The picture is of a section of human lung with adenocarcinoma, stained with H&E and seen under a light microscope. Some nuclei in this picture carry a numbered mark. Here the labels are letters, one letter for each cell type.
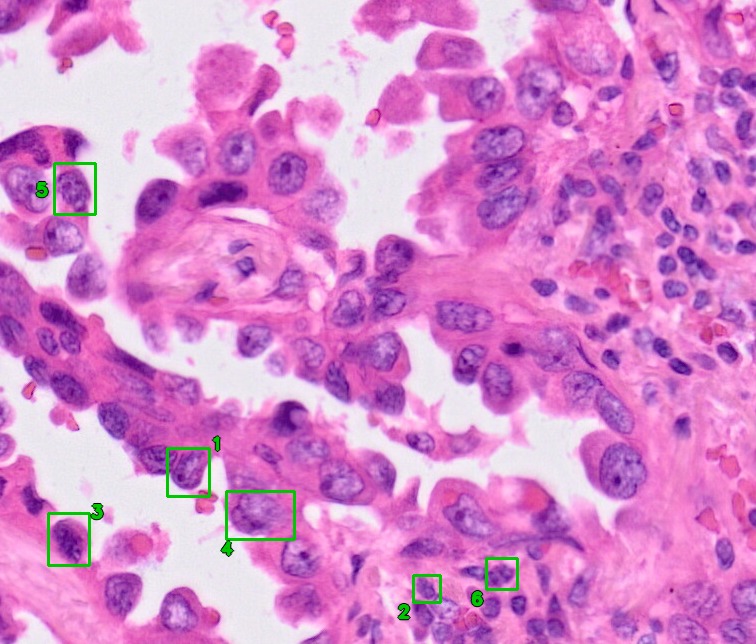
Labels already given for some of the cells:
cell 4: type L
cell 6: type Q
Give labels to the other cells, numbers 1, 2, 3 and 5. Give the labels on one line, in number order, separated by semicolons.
type L; type Q; type L; type L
